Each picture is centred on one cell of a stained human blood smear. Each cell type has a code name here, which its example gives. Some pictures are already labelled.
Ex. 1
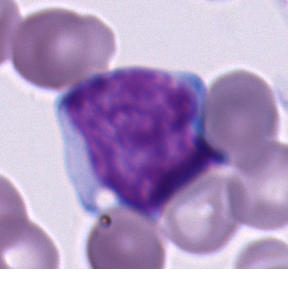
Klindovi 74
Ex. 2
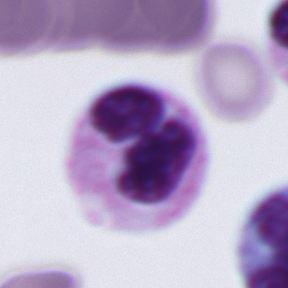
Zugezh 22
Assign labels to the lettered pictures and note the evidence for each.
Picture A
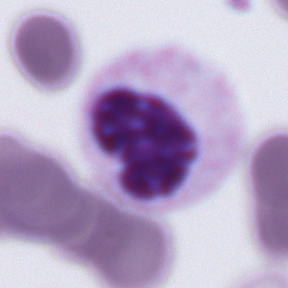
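Answer: Zugezh 22. The cytoplasm is abundant and very pale pink.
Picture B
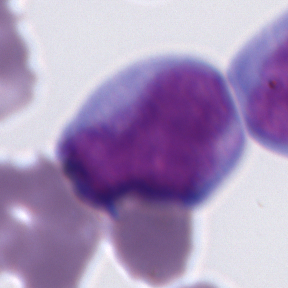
Answer: Klindovi 74. The nucleus fills most of the cell.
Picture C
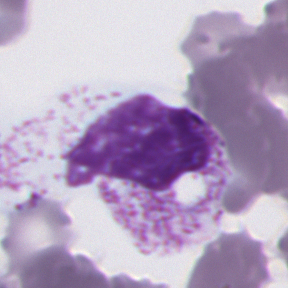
Answer: Zugezh 22. The background of the cytoplasm is very pale, nearly colourless.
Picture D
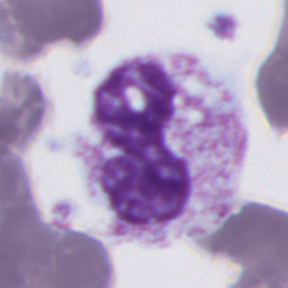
Answer: Zugezh 22. Between the granules the cytoplasm is very pale, almost colourless.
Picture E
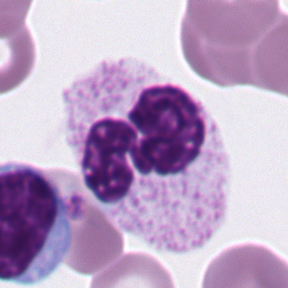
Answer: Zugezh 22. The cytoplasm is abundant and very pale.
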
